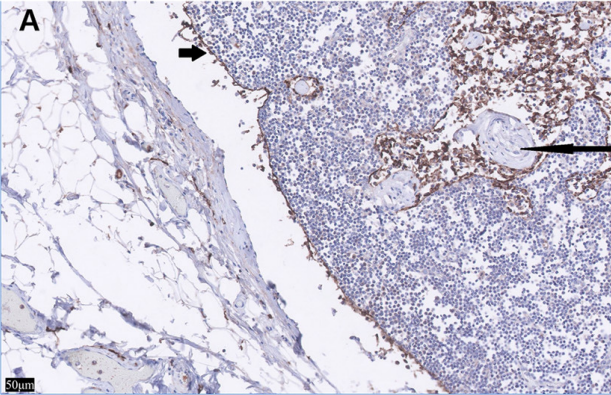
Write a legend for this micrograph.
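Lymph node with a dense population of small round lymphocytes, with blue nuclei packed closely throughout the parenchyma. A thin fibrous capsule borders the node, and loose adipose tissue with empty fat cell outlines lies outside it at the left. Brown-stained cells gather in irregular channels in the upper right, and brown staining also lines the capsular edge. Several small thick-walled vessels with concentric walls lie within the parenchyma, and their walls are unstained. A clear space separates the capsule from the surrounding connective tissue.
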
